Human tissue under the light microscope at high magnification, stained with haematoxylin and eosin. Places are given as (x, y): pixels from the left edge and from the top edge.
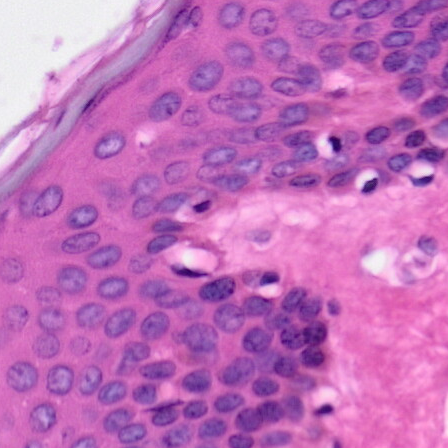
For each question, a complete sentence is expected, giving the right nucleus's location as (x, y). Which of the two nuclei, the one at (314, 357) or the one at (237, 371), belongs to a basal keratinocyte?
The nucleus of a basal keratinocyte is the one found at (314, 357), not the other.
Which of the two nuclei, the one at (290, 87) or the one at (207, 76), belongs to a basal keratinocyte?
As for which of the two, the nucleus at (290, 87) belongs to a basal keratinocyte.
